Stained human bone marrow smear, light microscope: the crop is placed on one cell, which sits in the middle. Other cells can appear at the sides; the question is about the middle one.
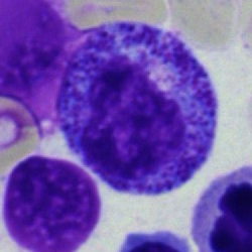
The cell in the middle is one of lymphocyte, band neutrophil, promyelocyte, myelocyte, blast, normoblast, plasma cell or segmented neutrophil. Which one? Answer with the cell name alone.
promyelocyte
